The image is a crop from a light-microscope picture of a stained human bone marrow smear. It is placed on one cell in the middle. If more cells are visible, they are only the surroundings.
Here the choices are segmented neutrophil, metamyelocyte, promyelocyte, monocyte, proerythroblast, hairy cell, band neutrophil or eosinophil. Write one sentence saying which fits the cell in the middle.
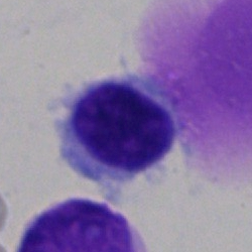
In this smear crop, the middle cell is a hairy cell.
